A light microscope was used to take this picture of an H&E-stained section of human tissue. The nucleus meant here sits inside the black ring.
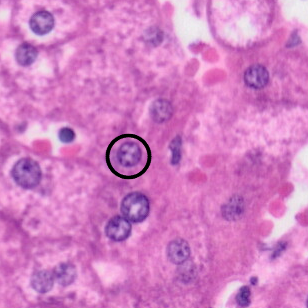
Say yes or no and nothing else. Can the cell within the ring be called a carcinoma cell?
no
